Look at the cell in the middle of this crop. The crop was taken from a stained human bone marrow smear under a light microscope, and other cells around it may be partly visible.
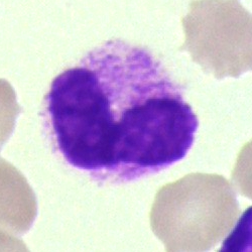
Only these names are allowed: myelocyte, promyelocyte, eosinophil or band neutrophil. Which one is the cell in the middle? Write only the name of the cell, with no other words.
band neutrophil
